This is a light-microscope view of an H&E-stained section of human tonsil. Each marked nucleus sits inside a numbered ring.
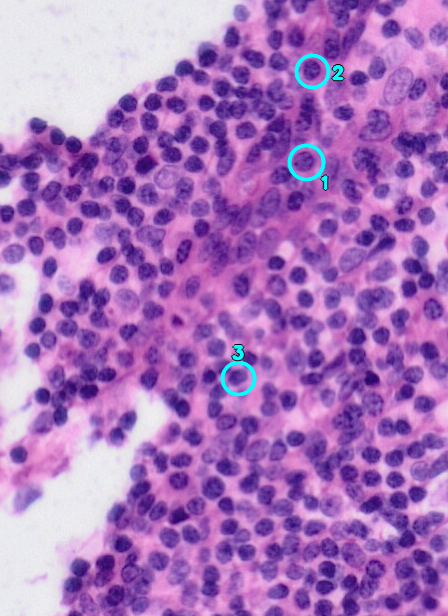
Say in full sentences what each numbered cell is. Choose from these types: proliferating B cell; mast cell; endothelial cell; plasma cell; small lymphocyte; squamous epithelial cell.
Cell 1 is a plasma cell, cell 2 is a plasma cell and cell 3 is a small lymphocyte.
